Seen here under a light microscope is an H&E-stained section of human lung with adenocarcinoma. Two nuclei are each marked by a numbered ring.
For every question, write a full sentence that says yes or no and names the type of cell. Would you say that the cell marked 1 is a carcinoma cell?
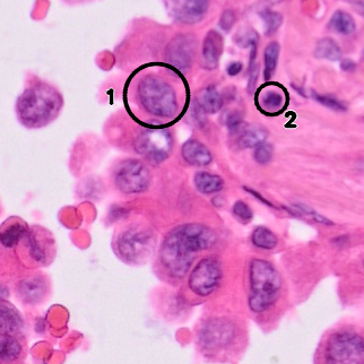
Yes, the cell with the number 1 is a carcinoma cell.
